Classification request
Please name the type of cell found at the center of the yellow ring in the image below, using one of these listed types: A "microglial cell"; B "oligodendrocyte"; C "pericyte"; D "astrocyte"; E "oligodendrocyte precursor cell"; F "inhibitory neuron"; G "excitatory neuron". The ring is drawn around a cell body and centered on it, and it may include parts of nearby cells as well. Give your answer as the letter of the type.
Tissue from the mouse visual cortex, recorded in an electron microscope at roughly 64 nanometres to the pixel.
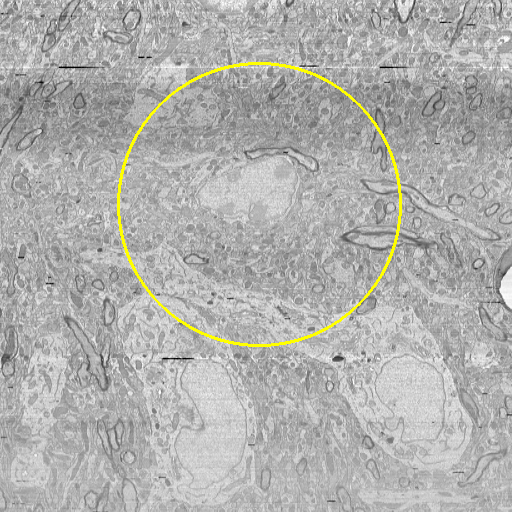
E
